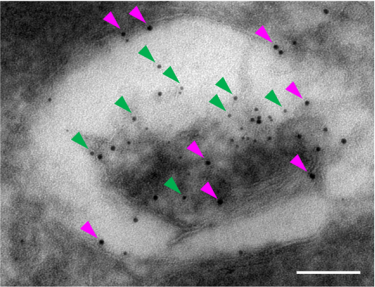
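A pale, electron-lucent space occupies its upper part, and a dense, dark, granular mass with membranous lamellae lies in its lower part. Black gold particles of a larger and a smaller size are spread over the organelle. The larger particles lie along the membrane and on the dense mass, and the smaller particles are scattered in the content. Grey cytoplasm surrounds the organelle.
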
